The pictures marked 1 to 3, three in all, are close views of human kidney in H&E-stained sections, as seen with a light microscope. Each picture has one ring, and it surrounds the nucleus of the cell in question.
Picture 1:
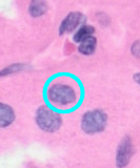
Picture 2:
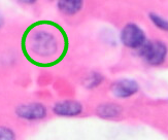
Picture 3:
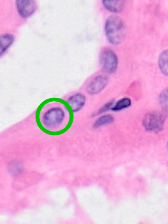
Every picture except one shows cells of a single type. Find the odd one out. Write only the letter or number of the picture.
3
